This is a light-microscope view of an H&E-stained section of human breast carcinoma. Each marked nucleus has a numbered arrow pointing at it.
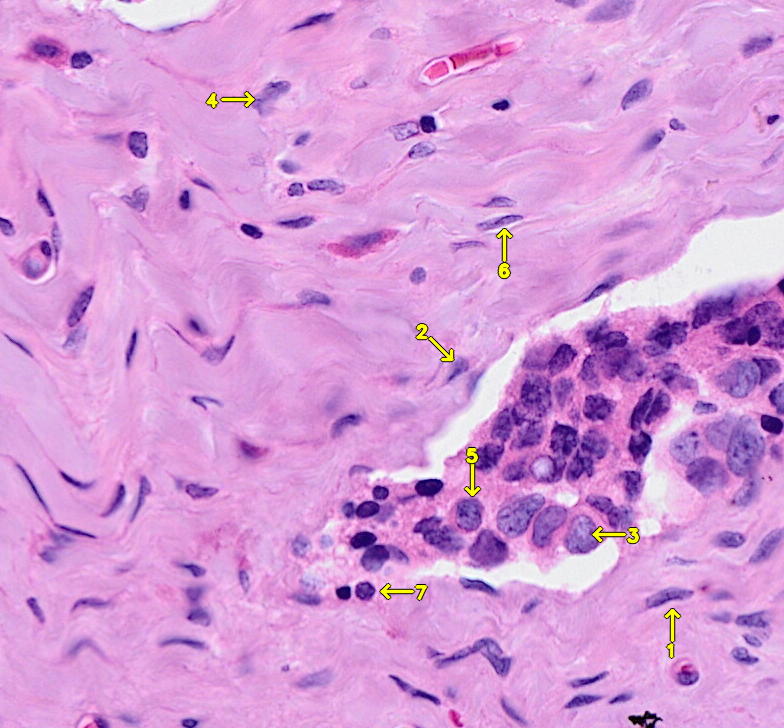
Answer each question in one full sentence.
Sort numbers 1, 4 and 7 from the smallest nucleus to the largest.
By area, going up from the smallest, they rank 7, 1, 4.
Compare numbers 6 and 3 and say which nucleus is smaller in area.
Nucleus 6 covers less area, with nucleus 3 about 2 times as large.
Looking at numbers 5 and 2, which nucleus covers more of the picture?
It is nucleus 5, which covers about 2.5 times the area of nucleus 2.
